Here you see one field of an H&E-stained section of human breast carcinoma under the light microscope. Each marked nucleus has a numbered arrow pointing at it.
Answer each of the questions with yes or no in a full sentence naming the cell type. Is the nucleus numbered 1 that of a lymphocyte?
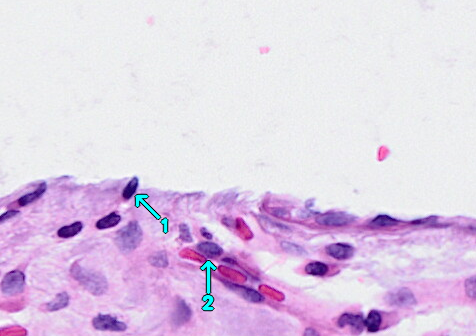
Yes, the cell marked with number 1 is a lymphocyte.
